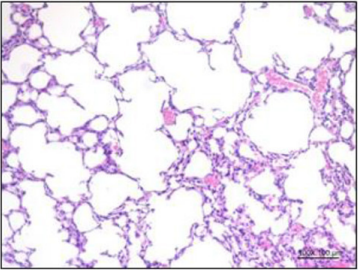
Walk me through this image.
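This is lung parenchyma with the airspace enlargement of emphysema. The alveolar spaces are wide and irregular, many of them run together into large open spaces, and the thin pink walls between them, carrying scattered purple nuclei, end here and there as free stubs where septa appear to have been lost. The remaining septa form a loose, uneven network rather than the fine even meshwork of normal lung. A few small vessels filled with red-pink blood cells lie within the thickened junctions of the walls.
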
